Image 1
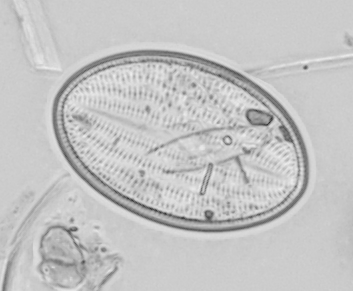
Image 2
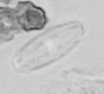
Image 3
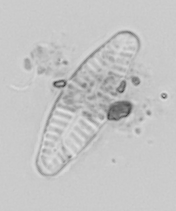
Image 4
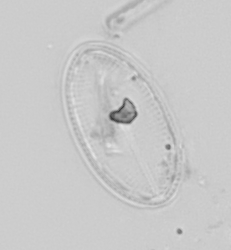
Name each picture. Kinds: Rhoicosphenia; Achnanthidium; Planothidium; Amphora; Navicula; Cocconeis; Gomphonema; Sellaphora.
1. Cocconeis
2. Sellaphora
3. Planothidium
4. Cocconeis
